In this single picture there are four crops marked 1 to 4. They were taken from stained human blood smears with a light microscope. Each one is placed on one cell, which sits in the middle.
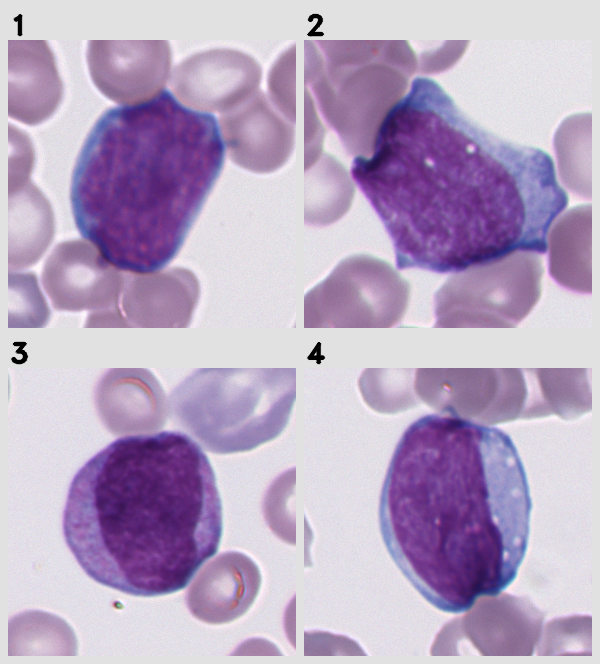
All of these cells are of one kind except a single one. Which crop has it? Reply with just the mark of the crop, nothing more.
3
